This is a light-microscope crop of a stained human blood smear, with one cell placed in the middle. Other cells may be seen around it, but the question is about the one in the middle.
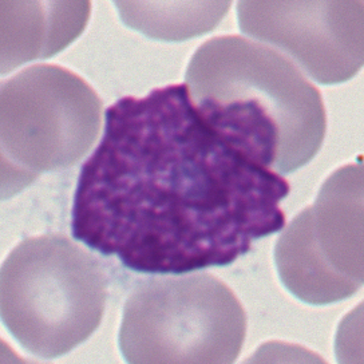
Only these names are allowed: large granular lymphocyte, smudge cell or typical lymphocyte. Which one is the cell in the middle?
smudge cell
